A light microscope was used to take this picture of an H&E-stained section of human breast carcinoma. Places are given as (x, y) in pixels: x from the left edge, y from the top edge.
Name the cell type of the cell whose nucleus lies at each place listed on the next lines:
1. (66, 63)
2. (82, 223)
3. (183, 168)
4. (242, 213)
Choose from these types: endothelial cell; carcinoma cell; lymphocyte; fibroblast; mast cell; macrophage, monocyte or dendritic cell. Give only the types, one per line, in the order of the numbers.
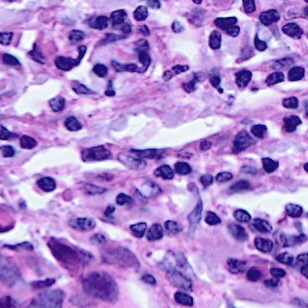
lymphocyte
mast cell
lymphocyte
lymphocyte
